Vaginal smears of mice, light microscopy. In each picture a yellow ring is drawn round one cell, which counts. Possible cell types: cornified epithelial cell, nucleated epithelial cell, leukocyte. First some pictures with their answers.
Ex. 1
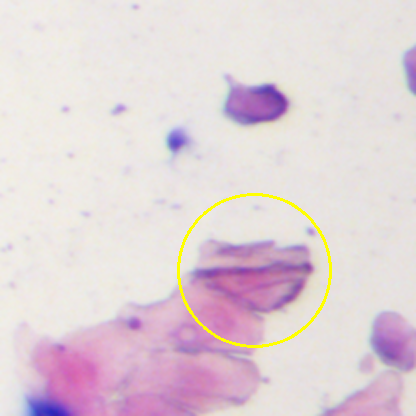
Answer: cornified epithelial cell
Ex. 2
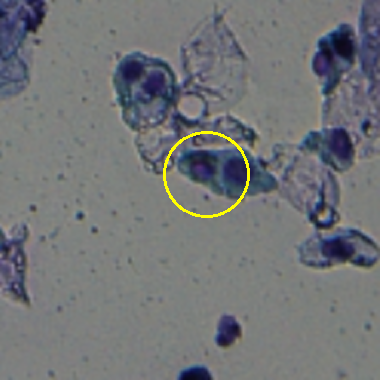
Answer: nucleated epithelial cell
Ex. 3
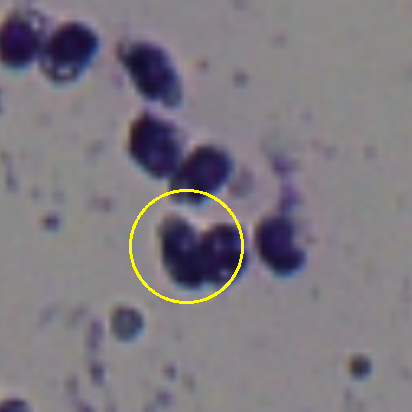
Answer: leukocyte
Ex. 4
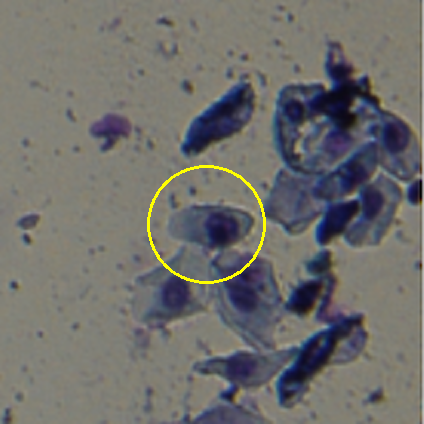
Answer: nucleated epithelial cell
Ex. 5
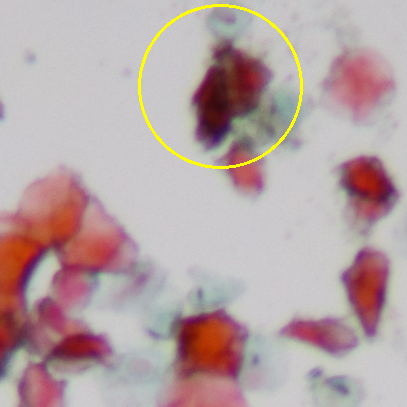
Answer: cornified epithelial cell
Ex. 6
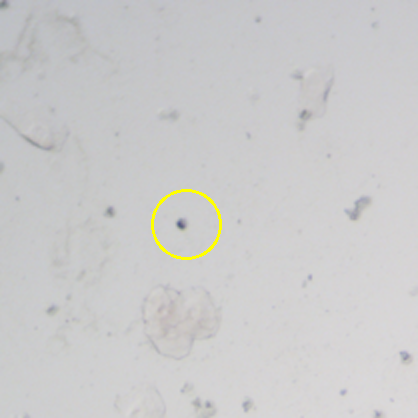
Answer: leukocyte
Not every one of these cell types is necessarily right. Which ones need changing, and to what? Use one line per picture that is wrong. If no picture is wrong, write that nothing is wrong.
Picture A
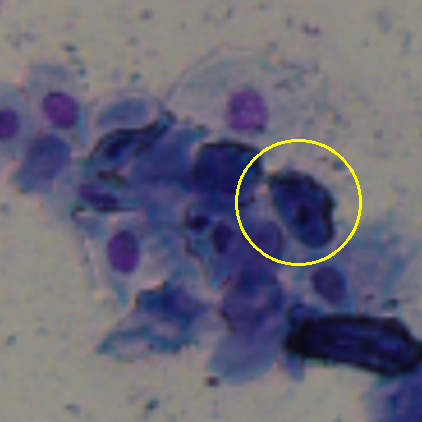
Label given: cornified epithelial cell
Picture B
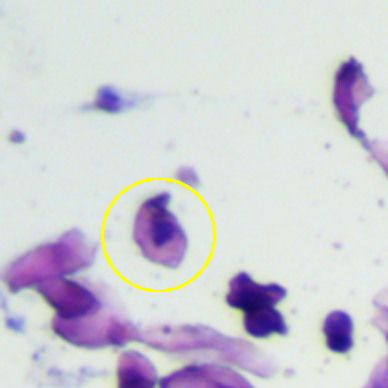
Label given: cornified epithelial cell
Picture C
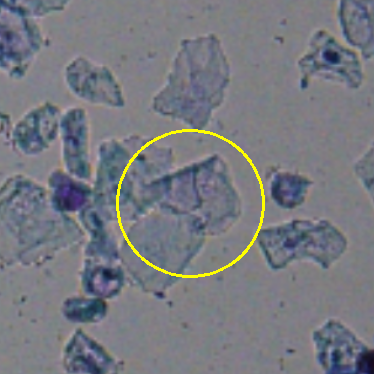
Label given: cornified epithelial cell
B is labelled cornified epithelial cell; correct label: nucleated epithelial cell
